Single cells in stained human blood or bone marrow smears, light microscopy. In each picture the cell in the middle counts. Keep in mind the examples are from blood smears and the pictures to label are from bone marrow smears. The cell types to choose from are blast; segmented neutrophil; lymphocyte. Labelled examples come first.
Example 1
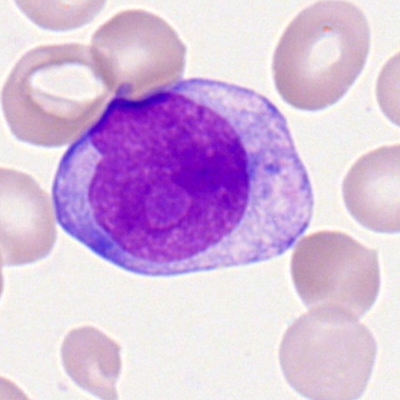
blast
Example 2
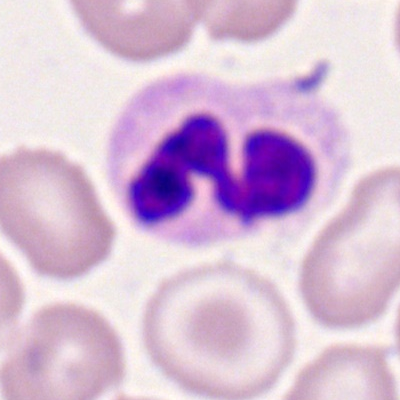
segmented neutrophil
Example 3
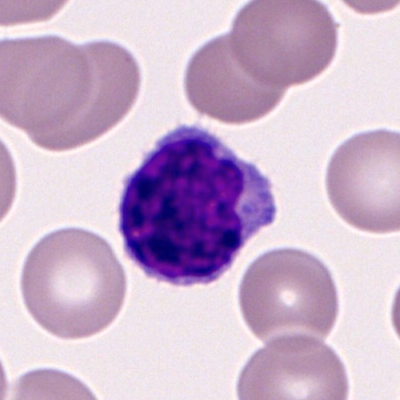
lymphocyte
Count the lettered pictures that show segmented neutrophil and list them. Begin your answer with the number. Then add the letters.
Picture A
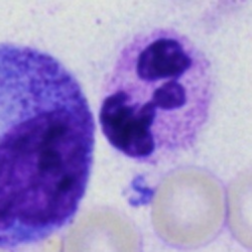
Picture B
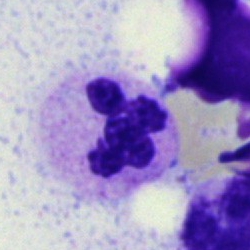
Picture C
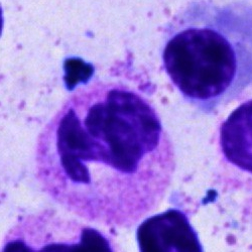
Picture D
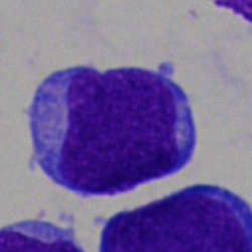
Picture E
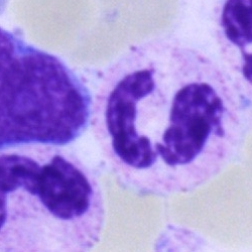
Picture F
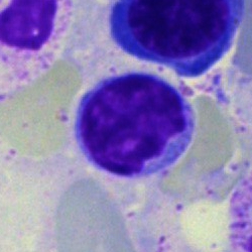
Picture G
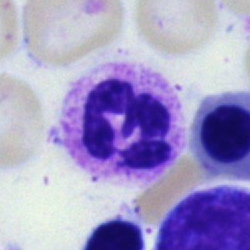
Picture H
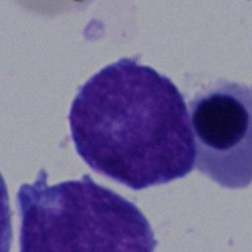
Count: 5 (A, B, C, E, G)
